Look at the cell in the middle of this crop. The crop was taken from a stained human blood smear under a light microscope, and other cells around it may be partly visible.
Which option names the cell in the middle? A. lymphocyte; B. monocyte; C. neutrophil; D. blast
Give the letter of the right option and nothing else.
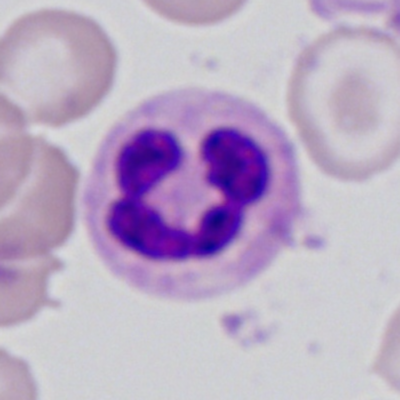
C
